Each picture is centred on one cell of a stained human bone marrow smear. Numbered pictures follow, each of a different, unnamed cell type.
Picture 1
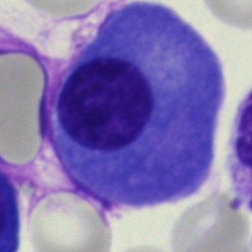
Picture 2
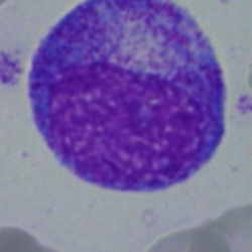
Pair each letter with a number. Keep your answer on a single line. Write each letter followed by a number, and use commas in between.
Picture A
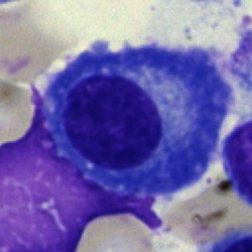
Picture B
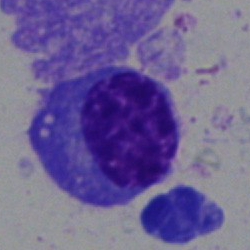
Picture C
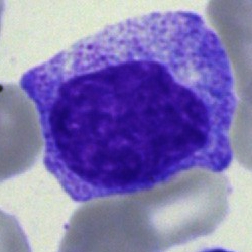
A 1, B 1, C 2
